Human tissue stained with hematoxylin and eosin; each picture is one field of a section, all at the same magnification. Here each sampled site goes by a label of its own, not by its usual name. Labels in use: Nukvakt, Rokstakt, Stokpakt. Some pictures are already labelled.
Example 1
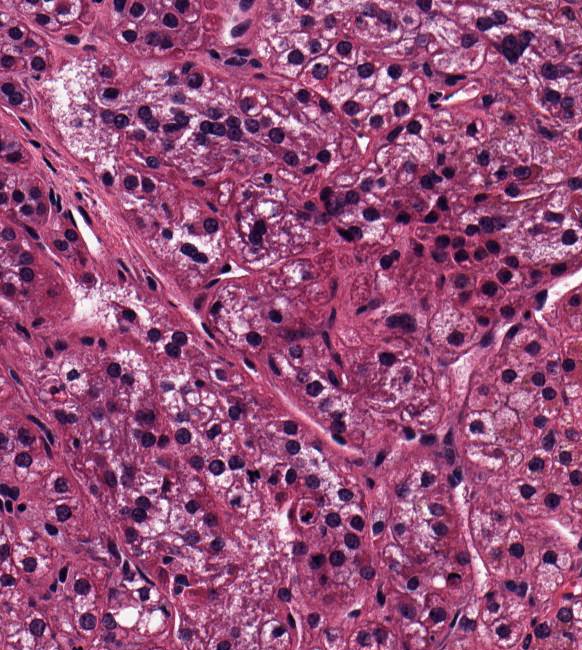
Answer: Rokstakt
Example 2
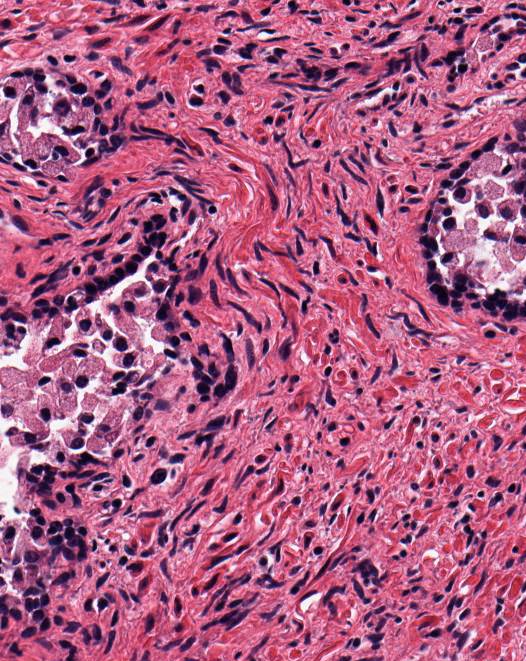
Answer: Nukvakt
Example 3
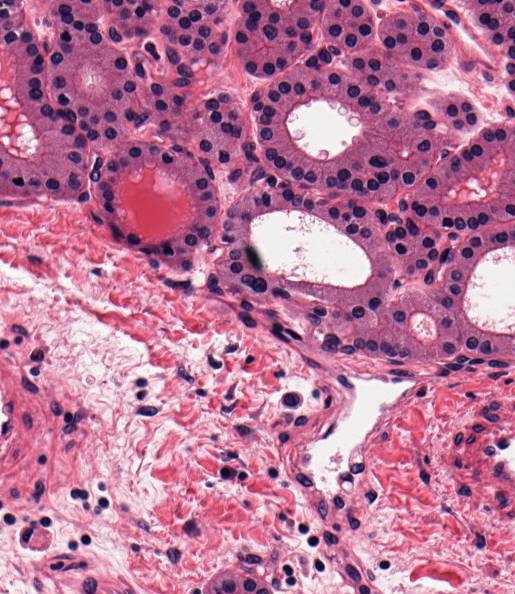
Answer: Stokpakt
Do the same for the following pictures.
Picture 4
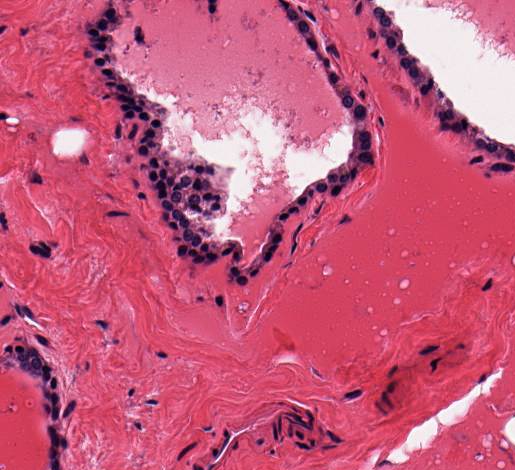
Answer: Stokpakt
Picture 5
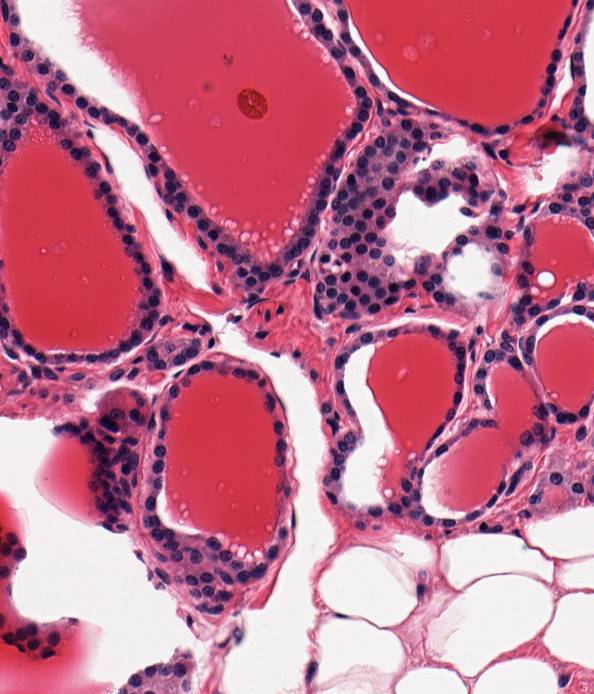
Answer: Stokpakt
